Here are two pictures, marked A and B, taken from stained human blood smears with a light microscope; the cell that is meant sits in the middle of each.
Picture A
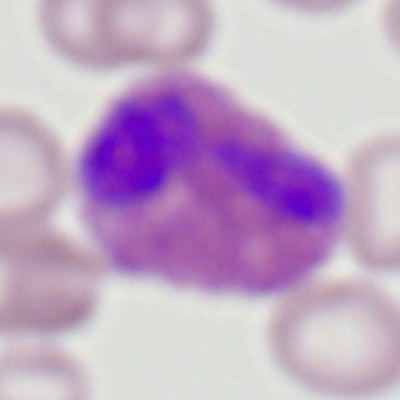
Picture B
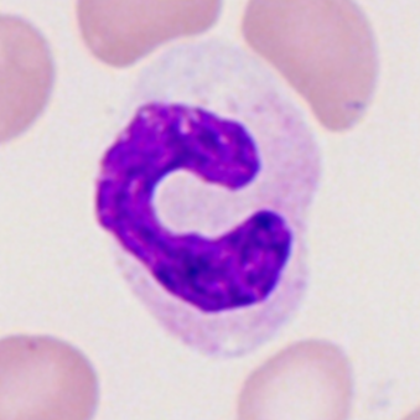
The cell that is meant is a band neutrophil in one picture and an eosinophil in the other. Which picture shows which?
A: eosinophil
B: band neutrophil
